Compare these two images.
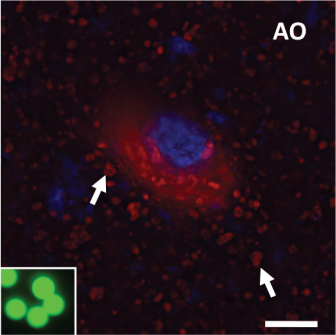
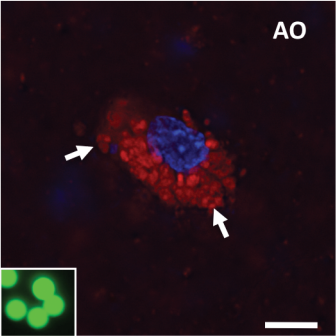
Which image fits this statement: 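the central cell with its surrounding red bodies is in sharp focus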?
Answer: The second image.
